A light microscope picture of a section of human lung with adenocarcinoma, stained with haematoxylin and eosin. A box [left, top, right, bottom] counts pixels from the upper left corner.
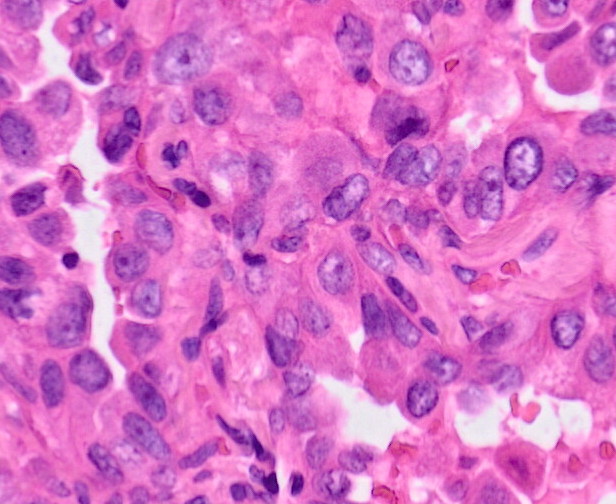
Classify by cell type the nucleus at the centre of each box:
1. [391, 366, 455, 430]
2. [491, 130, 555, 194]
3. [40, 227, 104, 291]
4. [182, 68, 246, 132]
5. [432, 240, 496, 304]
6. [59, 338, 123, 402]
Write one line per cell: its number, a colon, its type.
1: carcinoma cell
2: carcinoma cell
3: lymphocyte
4: carcinoma cell
5: endothelial cell
6: carcinoma cell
